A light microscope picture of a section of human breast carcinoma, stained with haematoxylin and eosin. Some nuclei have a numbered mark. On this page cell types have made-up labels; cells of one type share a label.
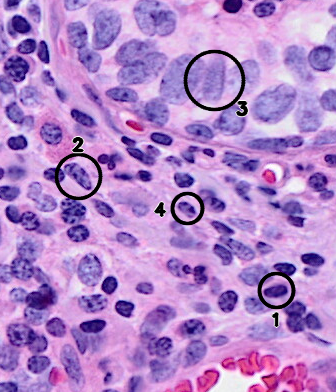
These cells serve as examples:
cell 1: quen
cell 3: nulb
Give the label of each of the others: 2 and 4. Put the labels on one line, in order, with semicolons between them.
quen; quen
